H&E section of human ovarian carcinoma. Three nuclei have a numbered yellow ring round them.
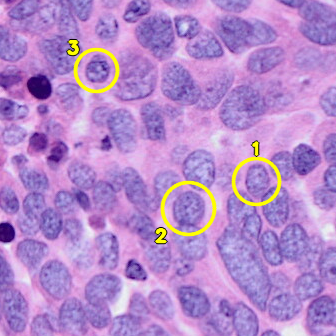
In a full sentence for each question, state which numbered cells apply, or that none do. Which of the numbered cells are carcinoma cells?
As for the cells numbered 1 and 2, they are carcinoma cells.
